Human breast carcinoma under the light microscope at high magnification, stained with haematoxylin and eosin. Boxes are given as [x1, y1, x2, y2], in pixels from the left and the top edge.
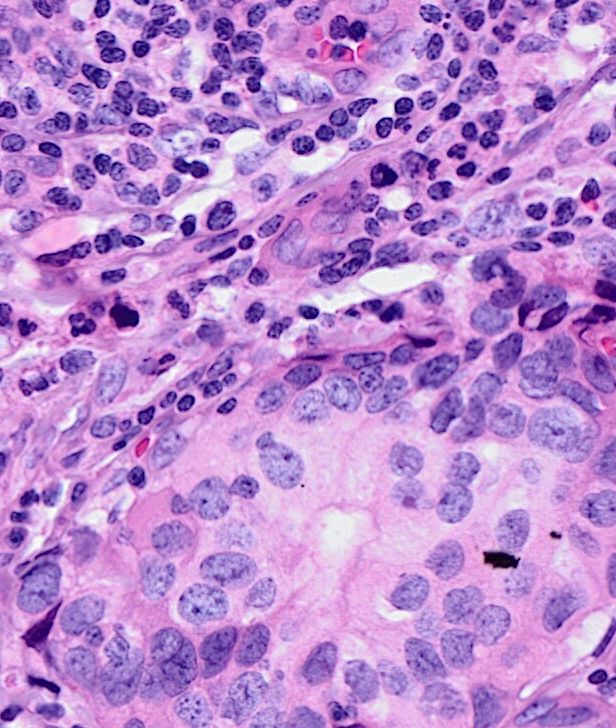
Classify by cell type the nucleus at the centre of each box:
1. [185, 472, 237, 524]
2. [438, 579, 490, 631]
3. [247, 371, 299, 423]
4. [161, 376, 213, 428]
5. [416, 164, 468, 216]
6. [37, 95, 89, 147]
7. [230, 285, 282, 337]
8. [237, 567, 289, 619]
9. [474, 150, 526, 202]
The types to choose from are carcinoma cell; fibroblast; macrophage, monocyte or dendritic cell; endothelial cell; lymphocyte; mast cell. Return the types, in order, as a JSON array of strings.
["carcinoma cell", "carcinoma cell", "carcinoma cell", "lymphocyte", "lymphocyte", "lymphocyte", "lymphocyte", "carcinoma cell", "lymphocyte"]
